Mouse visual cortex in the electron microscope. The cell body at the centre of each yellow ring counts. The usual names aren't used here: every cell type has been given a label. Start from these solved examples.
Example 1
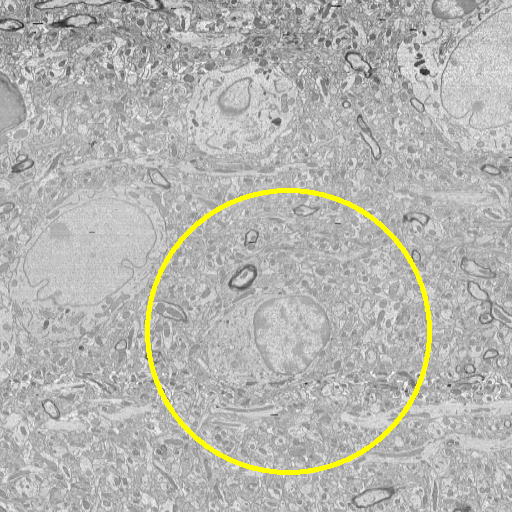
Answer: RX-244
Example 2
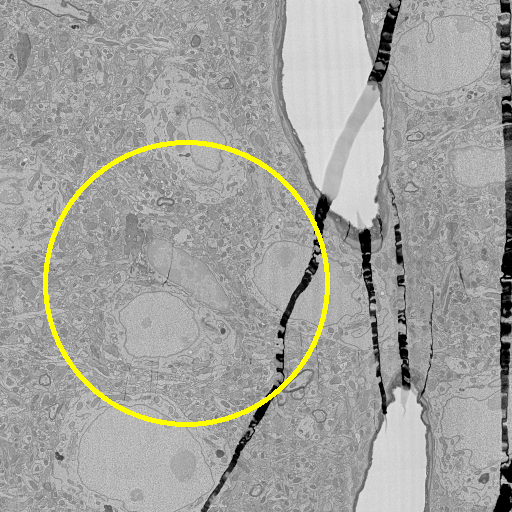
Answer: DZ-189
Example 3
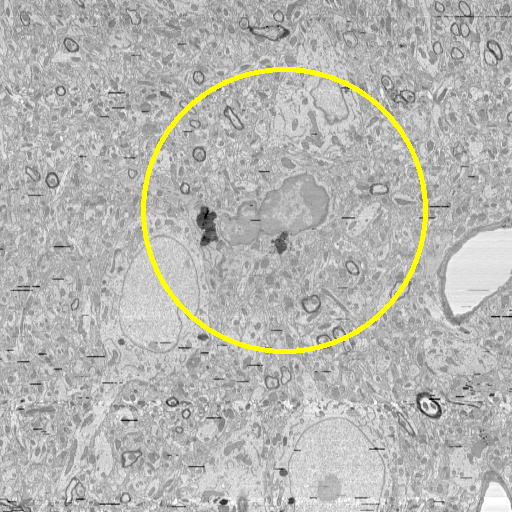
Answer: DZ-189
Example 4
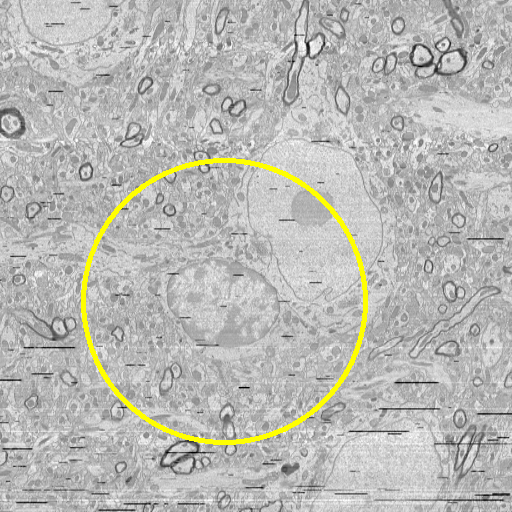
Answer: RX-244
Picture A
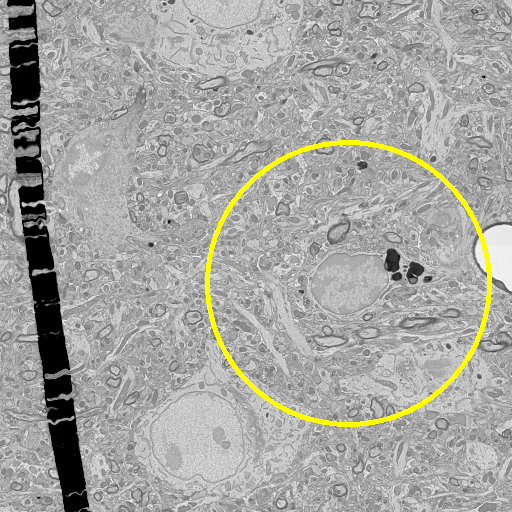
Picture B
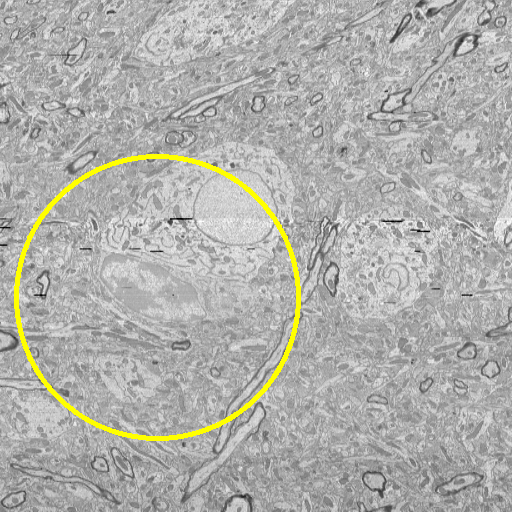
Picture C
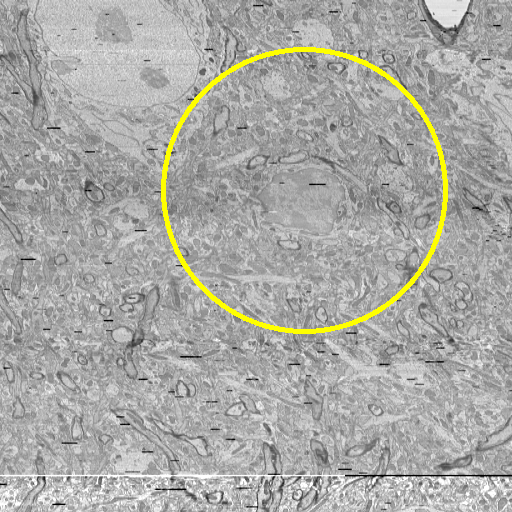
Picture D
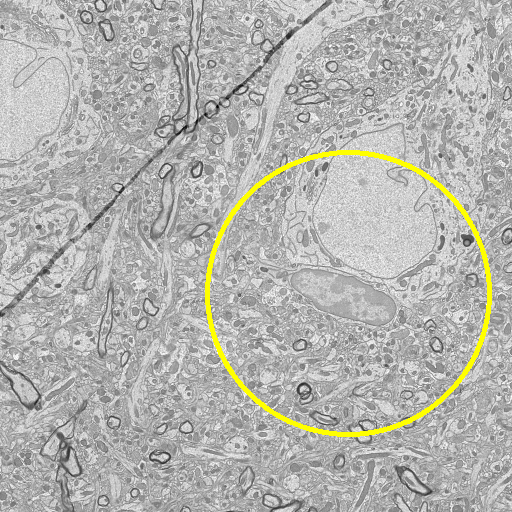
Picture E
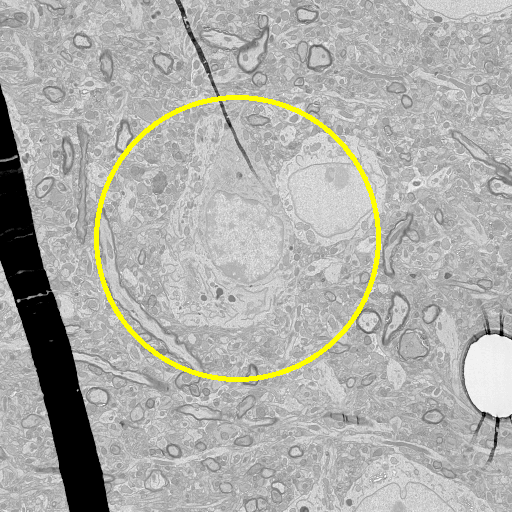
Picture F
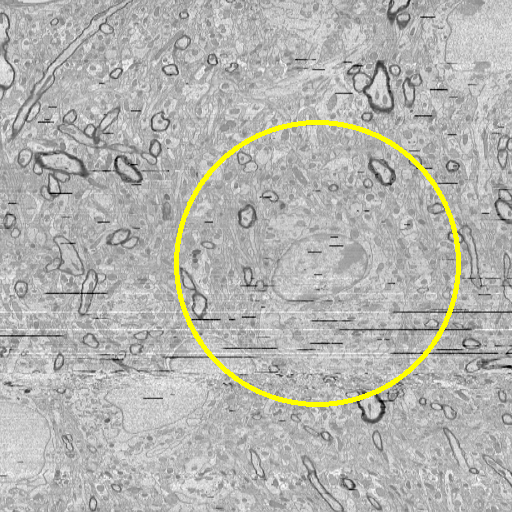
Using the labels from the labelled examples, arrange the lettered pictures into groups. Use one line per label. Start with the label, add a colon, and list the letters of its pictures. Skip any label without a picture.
RX-244: B, E, F
DZ-189: A, C, D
